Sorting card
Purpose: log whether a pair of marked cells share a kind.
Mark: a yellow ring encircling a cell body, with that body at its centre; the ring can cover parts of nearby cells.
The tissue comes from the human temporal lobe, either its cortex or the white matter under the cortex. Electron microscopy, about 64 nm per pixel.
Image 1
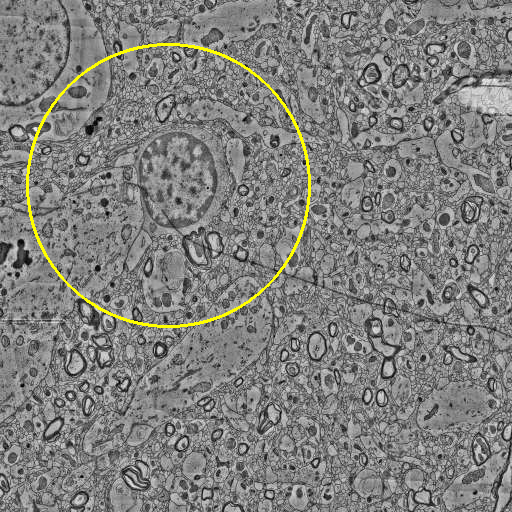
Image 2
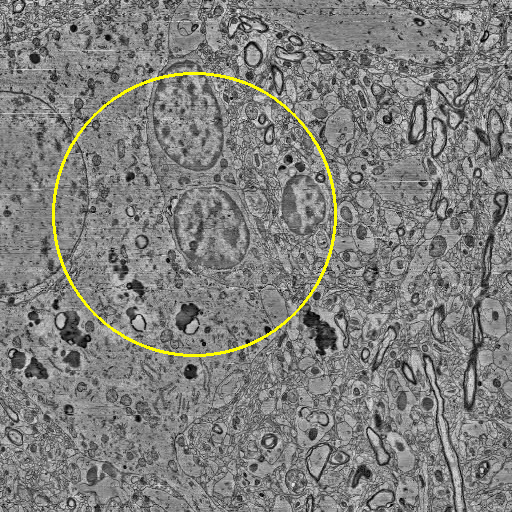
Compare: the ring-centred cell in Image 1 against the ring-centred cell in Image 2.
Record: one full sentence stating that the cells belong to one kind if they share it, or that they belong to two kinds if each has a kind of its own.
Across Images 1 and 2, the two ring-centred cells belong to one kind.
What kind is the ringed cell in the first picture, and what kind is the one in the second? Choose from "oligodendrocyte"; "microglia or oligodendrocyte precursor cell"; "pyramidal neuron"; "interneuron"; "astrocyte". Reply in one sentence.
Each of the two pictures has an oligodendrocyte at the ring centre.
